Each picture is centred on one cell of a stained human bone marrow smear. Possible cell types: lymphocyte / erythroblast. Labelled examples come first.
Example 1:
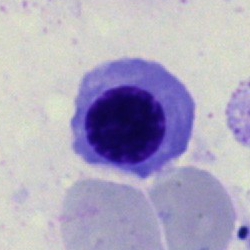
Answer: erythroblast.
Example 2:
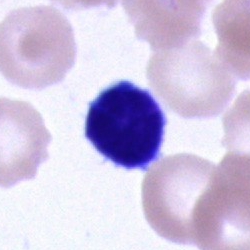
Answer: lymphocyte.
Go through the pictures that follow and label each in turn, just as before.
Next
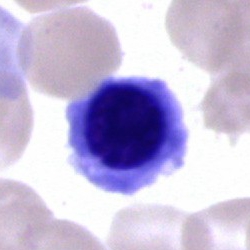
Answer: erythroblast.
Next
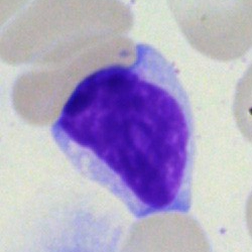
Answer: lymphocyte.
